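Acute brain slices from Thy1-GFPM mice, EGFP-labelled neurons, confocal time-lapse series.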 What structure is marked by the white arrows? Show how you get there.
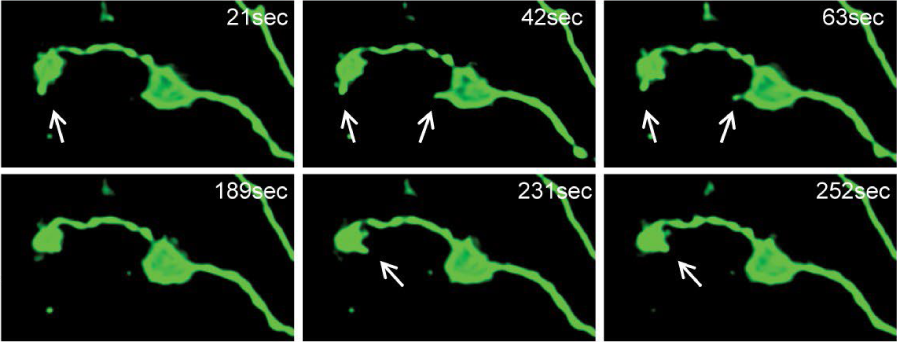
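Filopodia. Thin, short protrusions extend from a bulbous swelling of a green process. The protrusions change from frame to frame.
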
